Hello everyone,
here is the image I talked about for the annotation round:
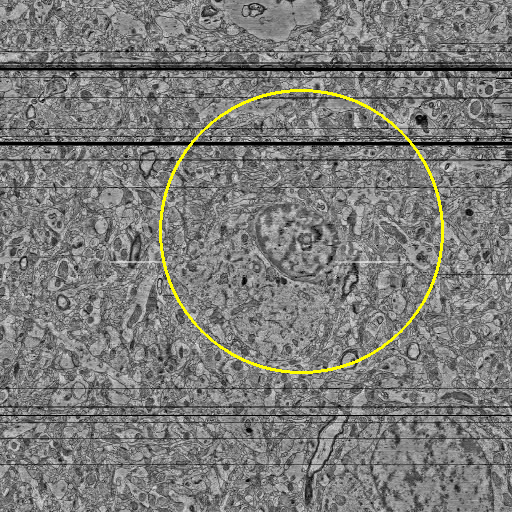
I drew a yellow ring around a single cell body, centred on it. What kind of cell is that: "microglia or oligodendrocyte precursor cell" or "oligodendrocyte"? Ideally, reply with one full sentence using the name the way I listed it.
The cell your yellow ring is centred on is an oligodendrocyte, going by your list.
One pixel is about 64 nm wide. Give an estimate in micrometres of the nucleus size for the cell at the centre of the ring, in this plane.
In this plane, about 5 micrometres in length and 4 in width.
